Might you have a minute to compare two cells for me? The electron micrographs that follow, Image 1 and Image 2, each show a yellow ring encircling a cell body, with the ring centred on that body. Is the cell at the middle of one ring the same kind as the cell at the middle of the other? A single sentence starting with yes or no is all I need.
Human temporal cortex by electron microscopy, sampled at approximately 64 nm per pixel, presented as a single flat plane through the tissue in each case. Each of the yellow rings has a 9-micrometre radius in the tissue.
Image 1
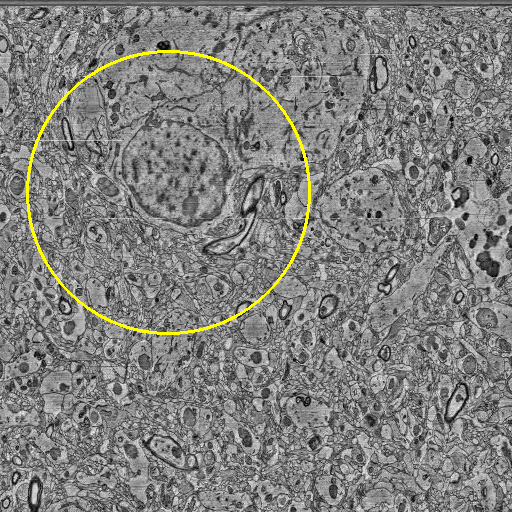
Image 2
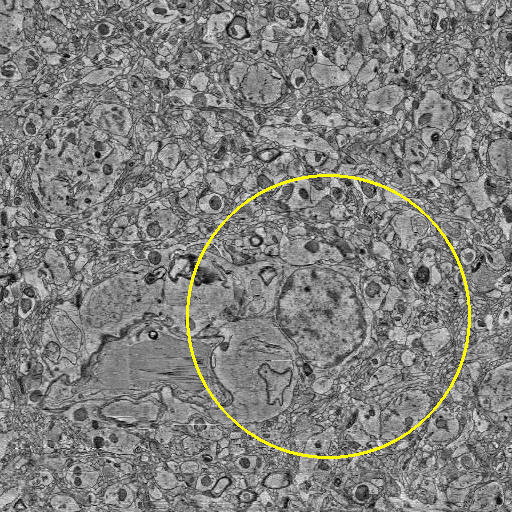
Yes, the cells in the middle of the two rings are of one shared kind.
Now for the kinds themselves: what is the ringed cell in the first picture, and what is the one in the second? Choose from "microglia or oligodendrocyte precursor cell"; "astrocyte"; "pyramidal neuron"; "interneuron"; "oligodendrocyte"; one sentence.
The second cell is a microglial cell or oligodendrocyte precursor cell, just as the first is.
